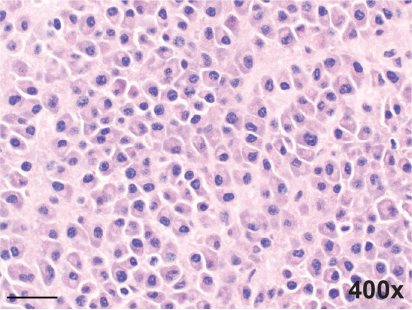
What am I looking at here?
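This shows a diffuse sheet of atypical plasma cells filling the whole field without any intervening normal tissue. The cells are round to polygonal with crisp borders and moderate pink cytoplasm. Their nuclei are round and dark, many sitting off-centre in the cell. Cells vary somewhat in size, fitting an atypical population.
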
